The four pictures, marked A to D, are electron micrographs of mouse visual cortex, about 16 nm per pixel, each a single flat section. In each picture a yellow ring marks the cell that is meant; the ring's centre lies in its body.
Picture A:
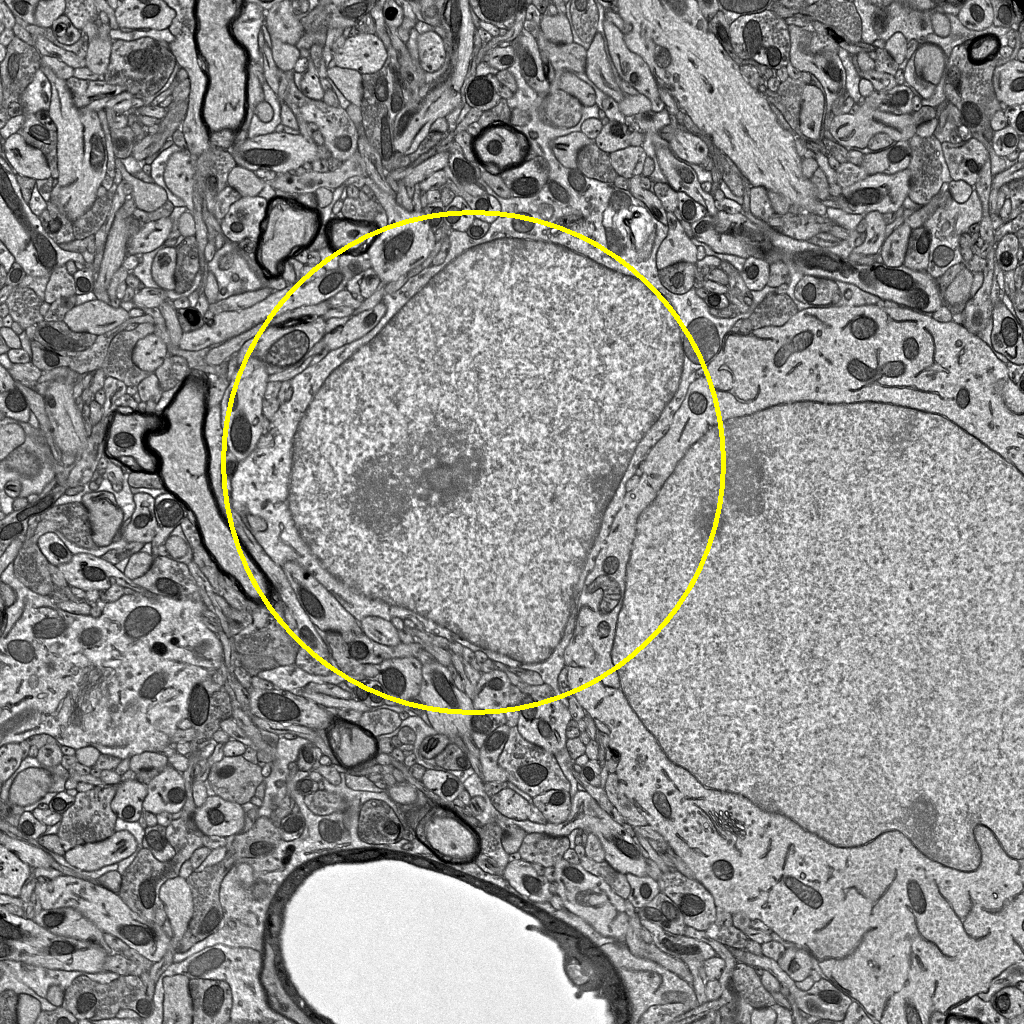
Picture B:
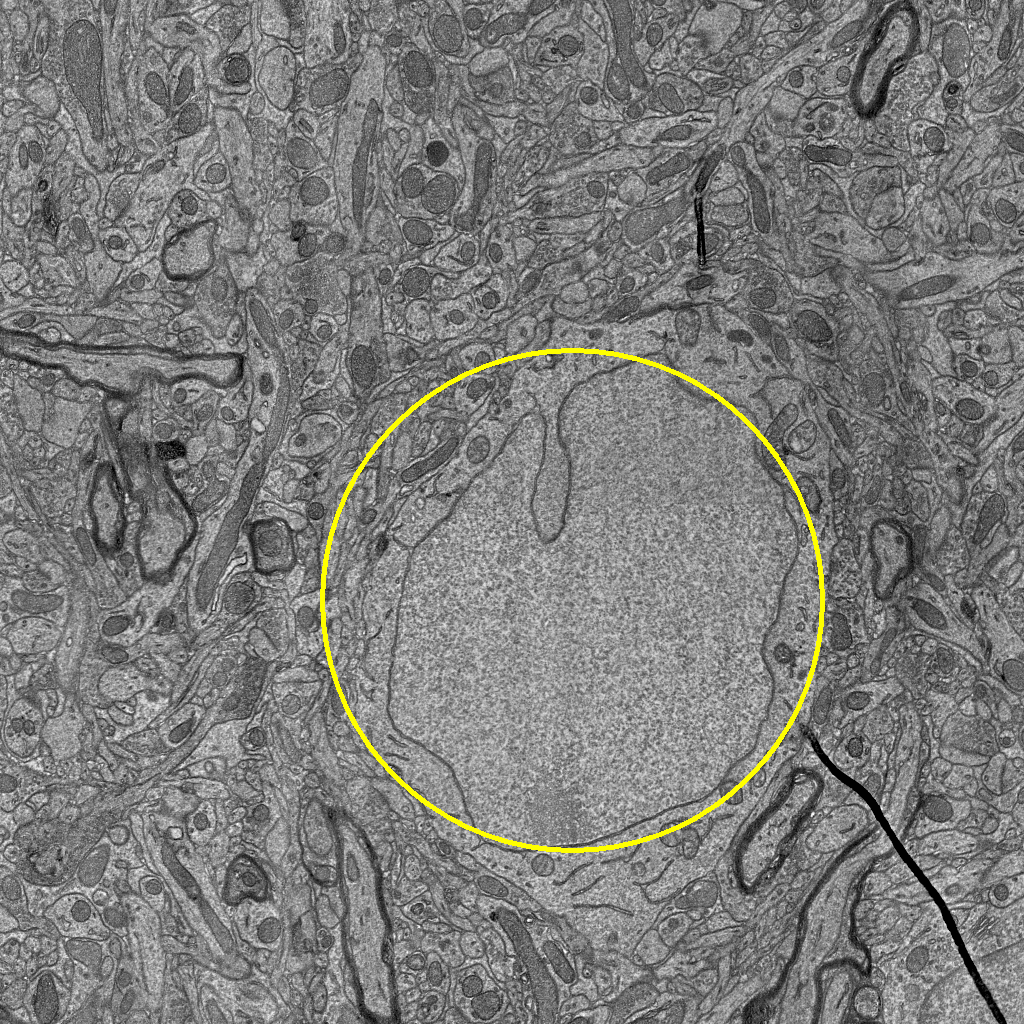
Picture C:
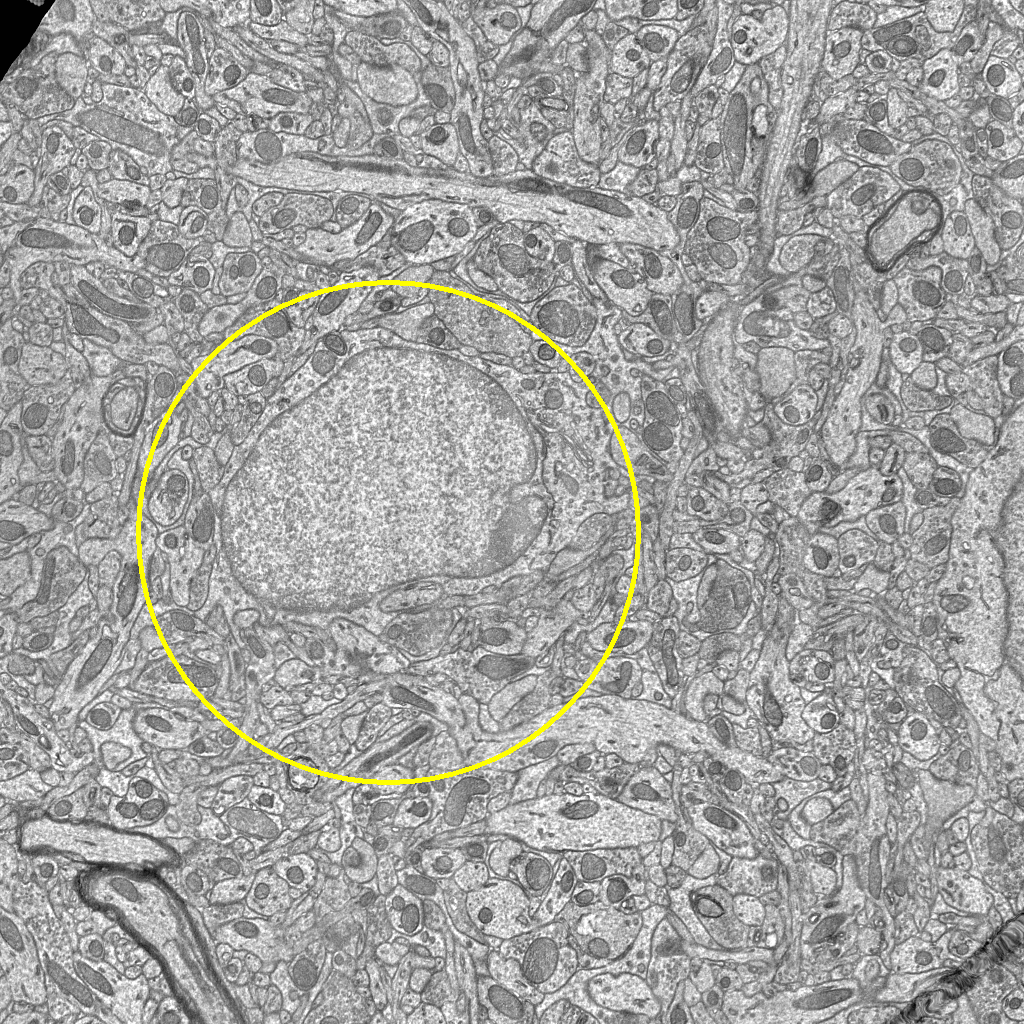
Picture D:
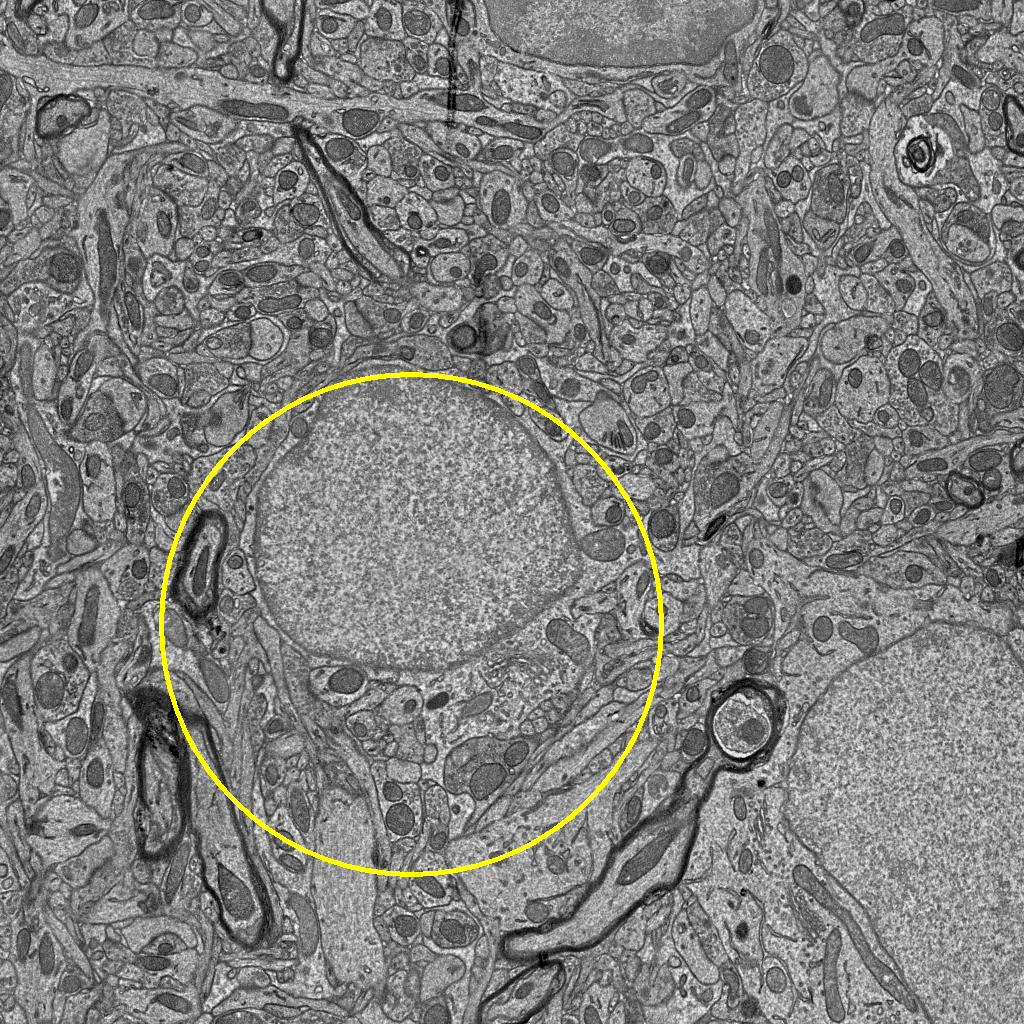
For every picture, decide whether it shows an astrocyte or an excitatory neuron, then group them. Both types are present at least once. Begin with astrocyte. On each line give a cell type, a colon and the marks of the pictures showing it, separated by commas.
astrocyte: A, C, D
excitatory neuron: B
